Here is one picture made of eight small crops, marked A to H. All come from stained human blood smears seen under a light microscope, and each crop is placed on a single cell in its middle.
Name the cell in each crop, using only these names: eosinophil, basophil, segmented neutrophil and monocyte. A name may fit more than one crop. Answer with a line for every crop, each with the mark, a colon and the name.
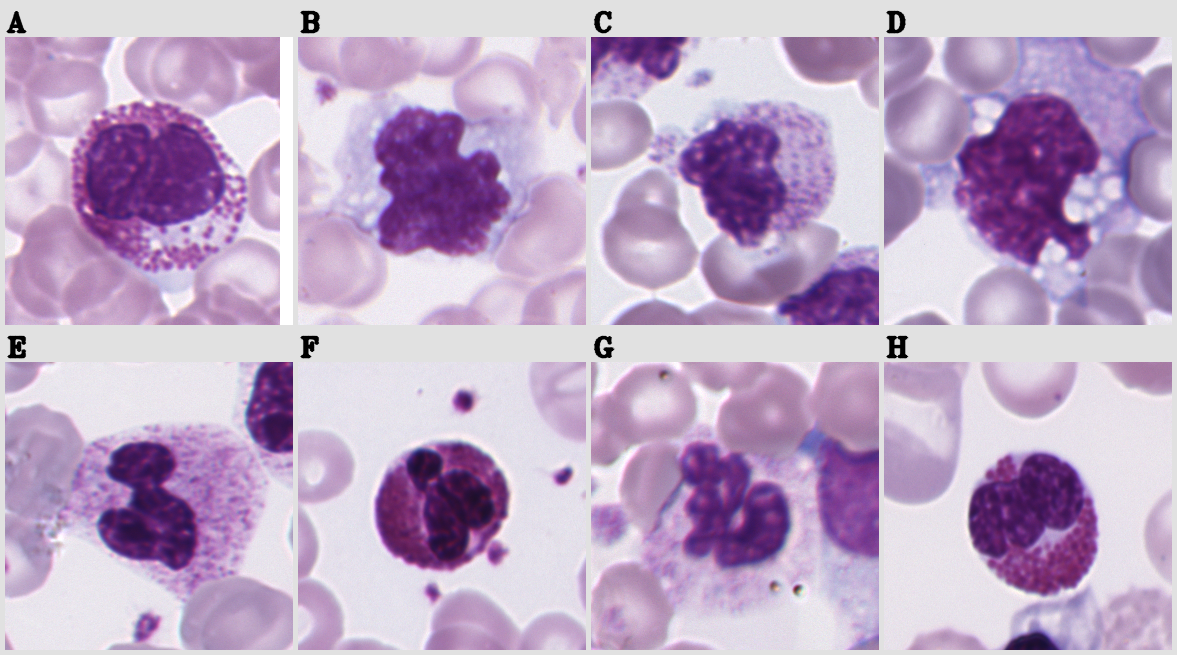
A: eosinophil
B: monocyte
C: segmented neutrophil
D: monocyte
E: segmented neutrophil
F: eosinophil
G: segmented neutrophil
H: eosinophil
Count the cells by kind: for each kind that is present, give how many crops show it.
eosinophil: 3
segmented neutrophil: 3
monocyte: 2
